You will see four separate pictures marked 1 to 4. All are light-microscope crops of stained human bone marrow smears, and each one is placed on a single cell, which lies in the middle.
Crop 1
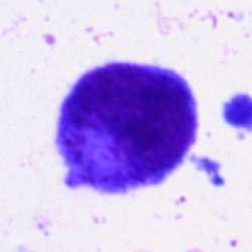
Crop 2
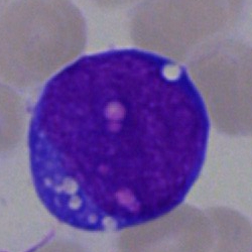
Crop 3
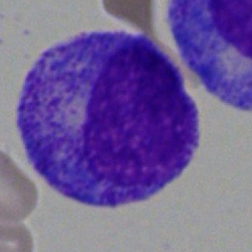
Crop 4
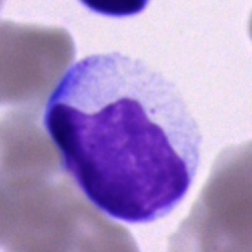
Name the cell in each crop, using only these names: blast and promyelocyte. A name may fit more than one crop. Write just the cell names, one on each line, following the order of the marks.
promyelocyte
blast
promyelocyte
blast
